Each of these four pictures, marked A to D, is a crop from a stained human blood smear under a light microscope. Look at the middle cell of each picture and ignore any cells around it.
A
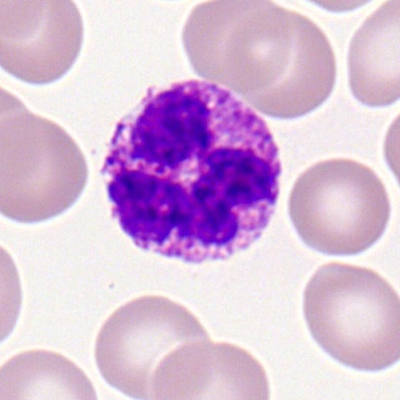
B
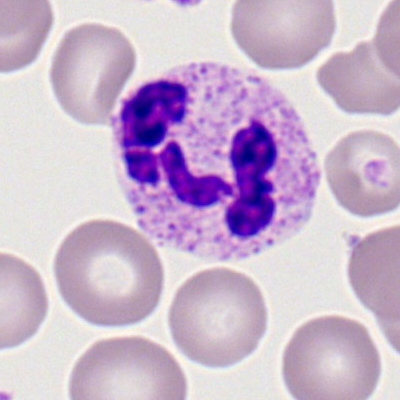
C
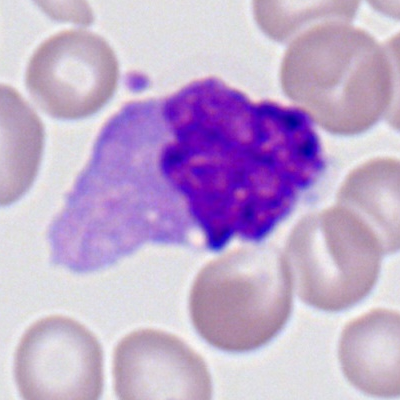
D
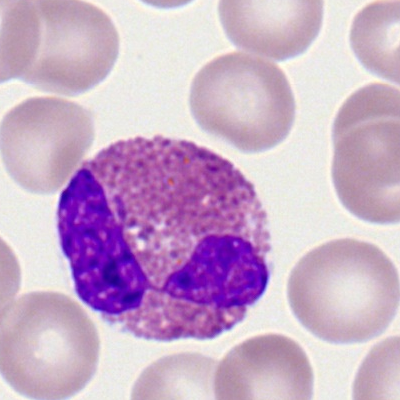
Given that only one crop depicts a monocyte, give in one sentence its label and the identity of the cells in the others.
The labels are: crop C is a monocyte, and crop A is a basophil, crop B is a segmented neutrophil and crop D is an eosinophil.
